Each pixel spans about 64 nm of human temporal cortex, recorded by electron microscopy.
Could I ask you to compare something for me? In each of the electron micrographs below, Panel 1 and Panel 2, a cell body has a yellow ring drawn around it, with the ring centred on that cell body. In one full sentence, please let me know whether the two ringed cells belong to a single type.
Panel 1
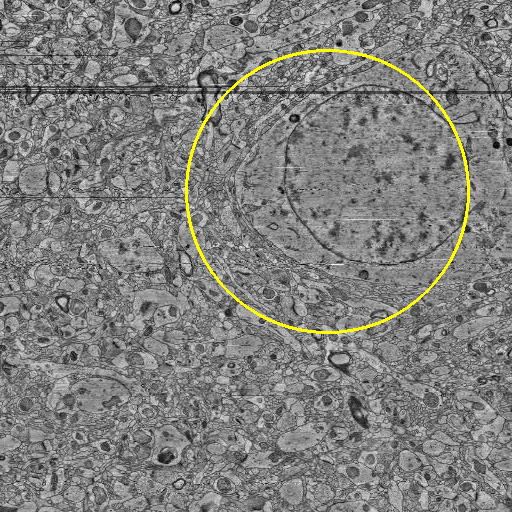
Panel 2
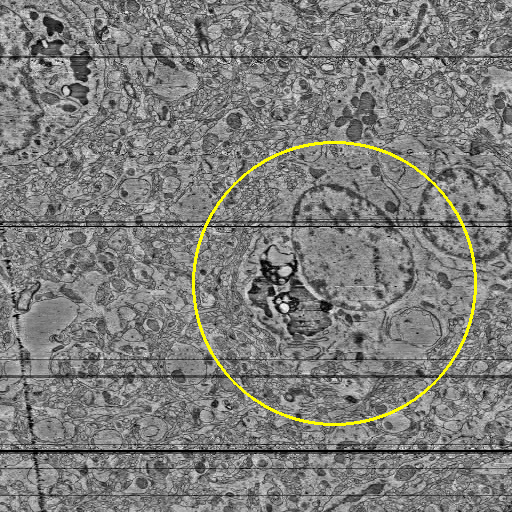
No, the two cells at the centres of the rings are of two types.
